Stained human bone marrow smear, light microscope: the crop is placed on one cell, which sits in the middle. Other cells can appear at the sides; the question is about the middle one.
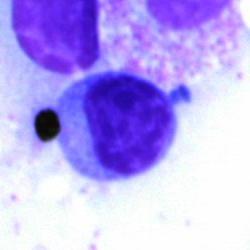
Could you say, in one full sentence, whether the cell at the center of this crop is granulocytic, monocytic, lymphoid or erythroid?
The cell in the middle of the crop belongs to the lymphoid lineage.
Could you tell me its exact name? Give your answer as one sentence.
The centrally positioned cell in the crop represents a lymphocyte.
